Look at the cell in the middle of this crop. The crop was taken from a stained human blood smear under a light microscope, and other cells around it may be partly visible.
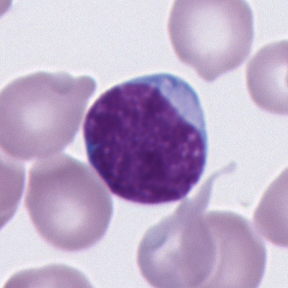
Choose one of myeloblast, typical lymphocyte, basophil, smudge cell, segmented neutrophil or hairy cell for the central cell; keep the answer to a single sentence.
The cell at the centre of the field is a myeloblast.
